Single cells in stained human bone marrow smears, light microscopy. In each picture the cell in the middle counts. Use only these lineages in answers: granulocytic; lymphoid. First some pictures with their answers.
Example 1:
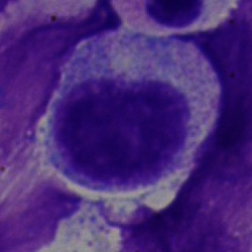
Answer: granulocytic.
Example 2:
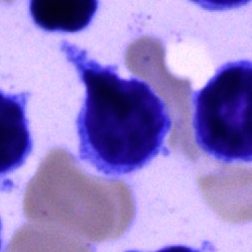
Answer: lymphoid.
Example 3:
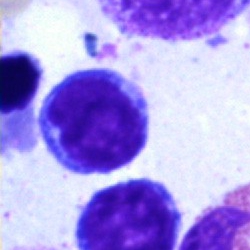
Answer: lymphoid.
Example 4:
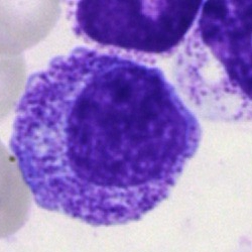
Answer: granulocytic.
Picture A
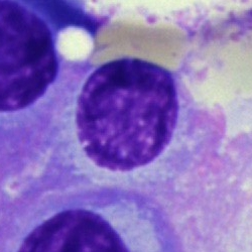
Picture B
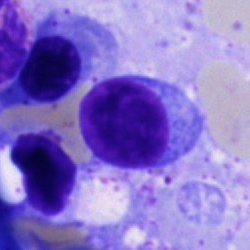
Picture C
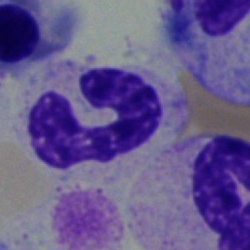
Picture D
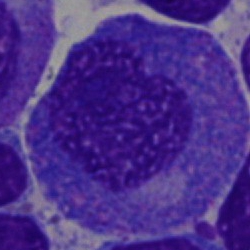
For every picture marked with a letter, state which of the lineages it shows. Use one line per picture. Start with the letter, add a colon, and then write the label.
A: lymphoid.
B: lymphoid.
C: granulocytic.
D: granulocytic.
